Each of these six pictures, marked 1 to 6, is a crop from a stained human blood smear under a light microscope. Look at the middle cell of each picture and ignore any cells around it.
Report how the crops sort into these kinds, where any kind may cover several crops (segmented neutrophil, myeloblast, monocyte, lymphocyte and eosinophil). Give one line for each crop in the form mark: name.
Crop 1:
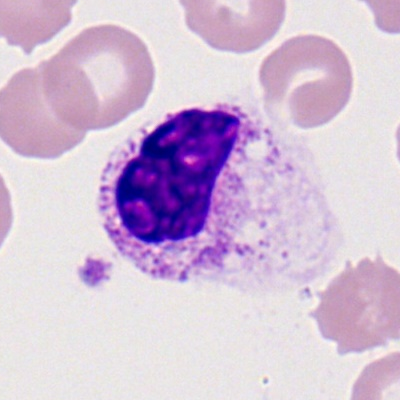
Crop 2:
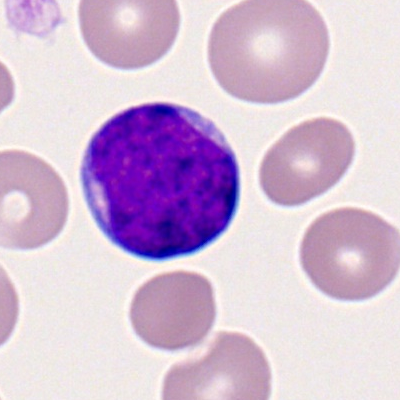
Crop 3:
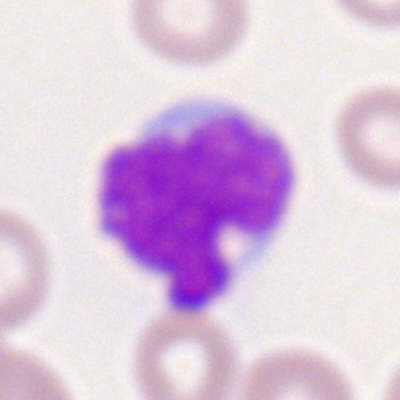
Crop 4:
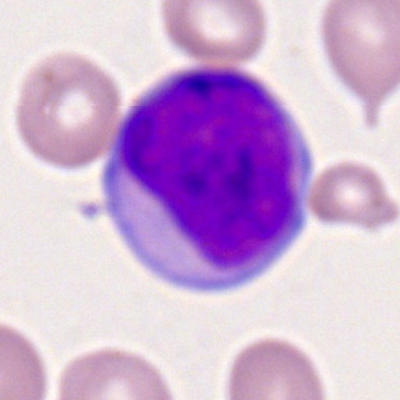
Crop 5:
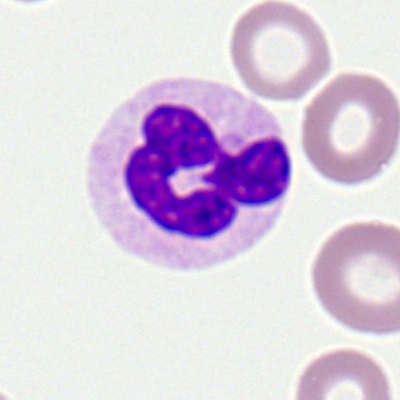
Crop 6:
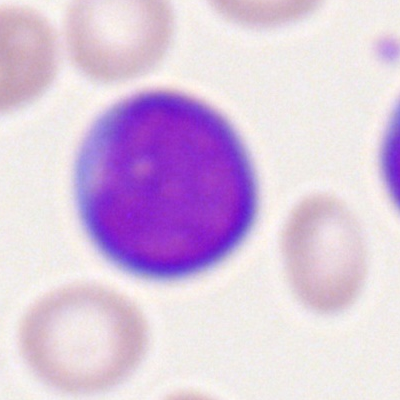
1: segmented neutrophil
2: myeloblast
3: myeloblast
4: myeloblast
5: segmented neutrophil
6: myeloblast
